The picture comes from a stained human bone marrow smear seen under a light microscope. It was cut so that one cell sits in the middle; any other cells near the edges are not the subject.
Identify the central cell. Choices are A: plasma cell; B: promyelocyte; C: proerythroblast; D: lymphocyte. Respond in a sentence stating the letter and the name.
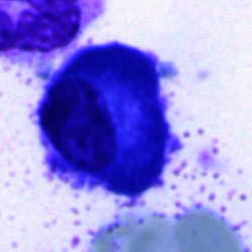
Option A correctly names the cell in the middle as a plasma cell.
